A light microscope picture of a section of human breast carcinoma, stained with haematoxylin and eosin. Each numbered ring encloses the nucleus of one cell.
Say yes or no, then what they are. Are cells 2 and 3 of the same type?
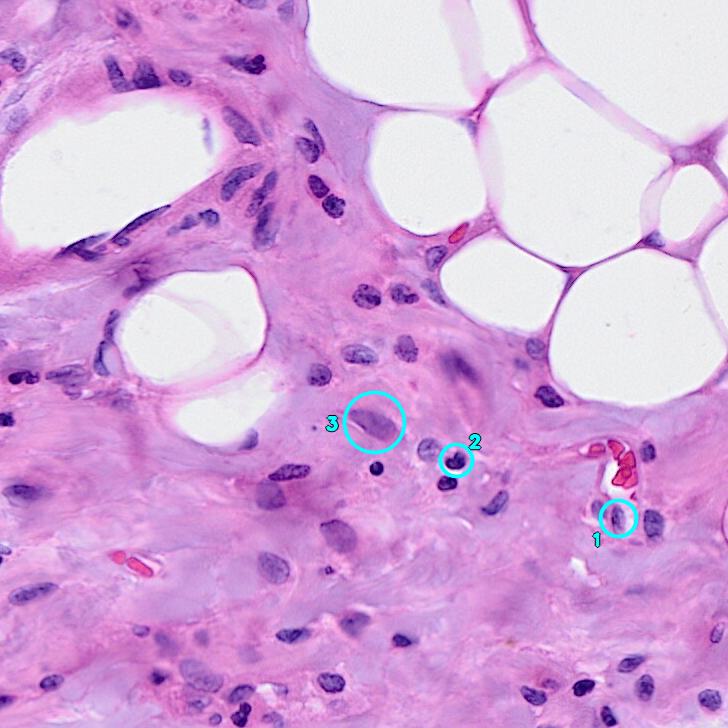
No, cell 2 is a lymphocyte; cell 3 is a fibroblast.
